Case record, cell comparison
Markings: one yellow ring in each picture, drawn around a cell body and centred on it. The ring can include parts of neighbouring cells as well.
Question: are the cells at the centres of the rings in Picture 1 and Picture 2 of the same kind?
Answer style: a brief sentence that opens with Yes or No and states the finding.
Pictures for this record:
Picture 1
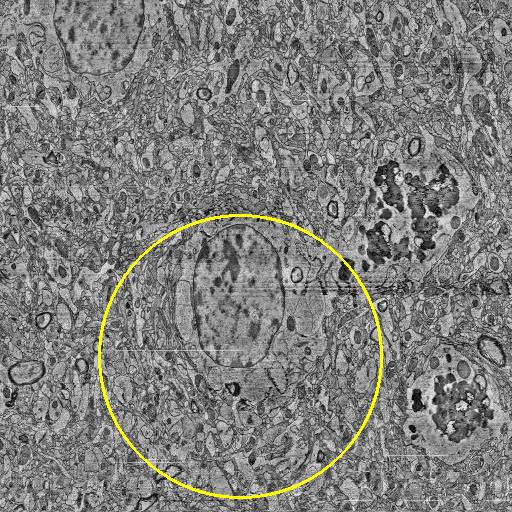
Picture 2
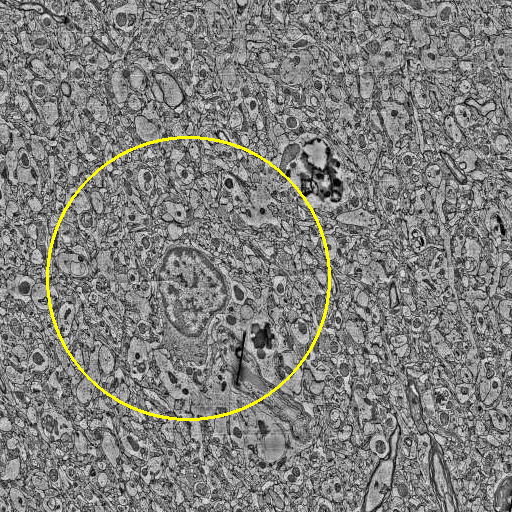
No, the cells in Picture 1 and Picture 2 are of two kinds.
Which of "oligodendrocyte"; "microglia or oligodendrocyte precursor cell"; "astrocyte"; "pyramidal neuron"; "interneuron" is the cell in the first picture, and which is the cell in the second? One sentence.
The two differ: the first cell is an astrocyte and the second is an oligodendrocyte.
